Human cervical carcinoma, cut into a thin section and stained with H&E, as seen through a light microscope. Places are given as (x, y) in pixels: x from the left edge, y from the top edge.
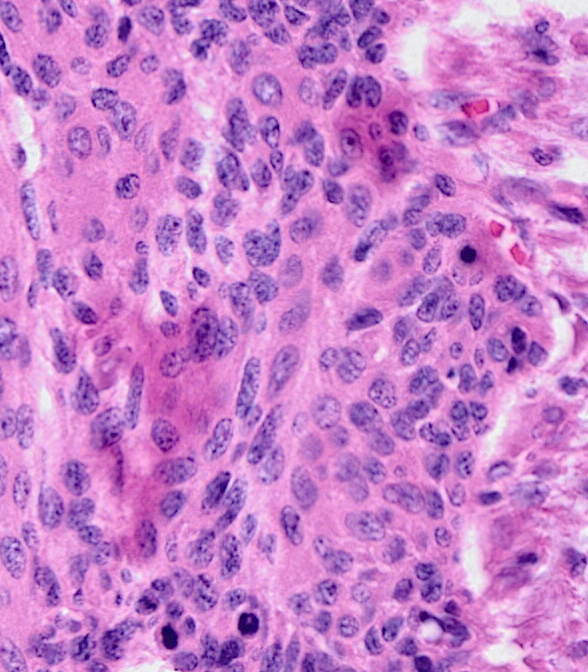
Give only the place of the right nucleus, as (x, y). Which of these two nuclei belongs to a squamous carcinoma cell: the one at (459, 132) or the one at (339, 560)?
(339, 560)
